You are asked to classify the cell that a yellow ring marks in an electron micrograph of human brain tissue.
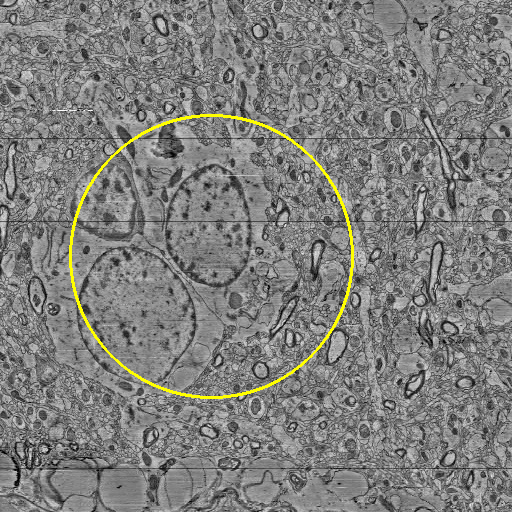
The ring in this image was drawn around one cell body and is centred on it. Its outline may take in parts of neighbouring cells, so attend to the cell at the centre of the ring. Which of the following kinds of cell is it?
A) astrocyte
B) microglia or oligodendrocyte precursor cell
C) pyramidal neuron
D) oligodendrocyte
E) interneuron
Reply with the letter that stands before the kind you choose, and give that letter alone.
A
